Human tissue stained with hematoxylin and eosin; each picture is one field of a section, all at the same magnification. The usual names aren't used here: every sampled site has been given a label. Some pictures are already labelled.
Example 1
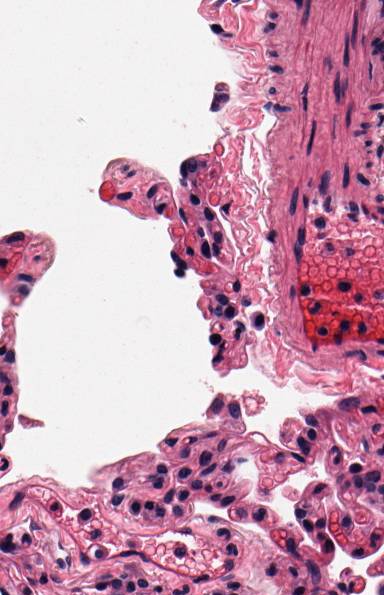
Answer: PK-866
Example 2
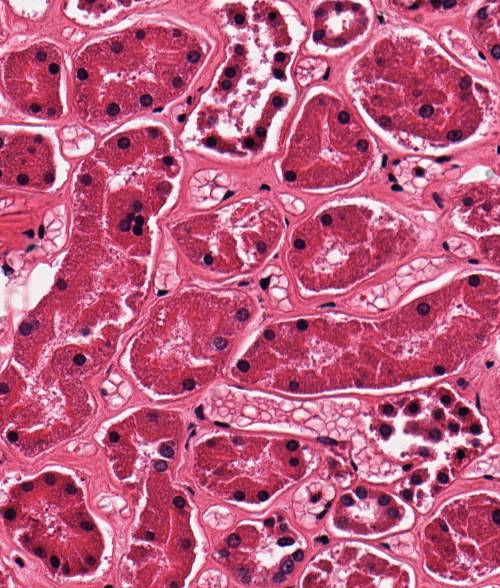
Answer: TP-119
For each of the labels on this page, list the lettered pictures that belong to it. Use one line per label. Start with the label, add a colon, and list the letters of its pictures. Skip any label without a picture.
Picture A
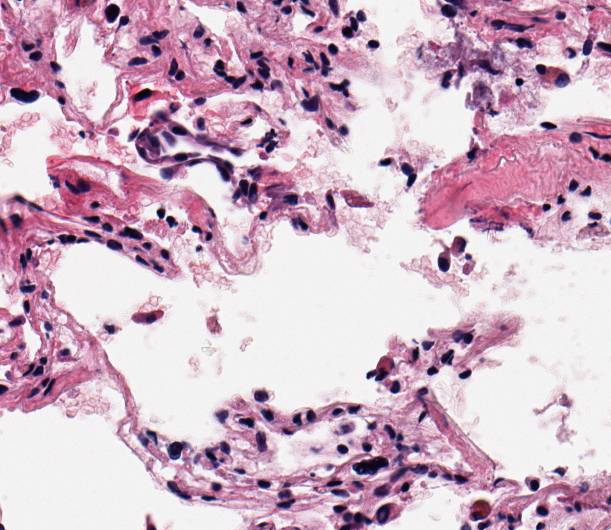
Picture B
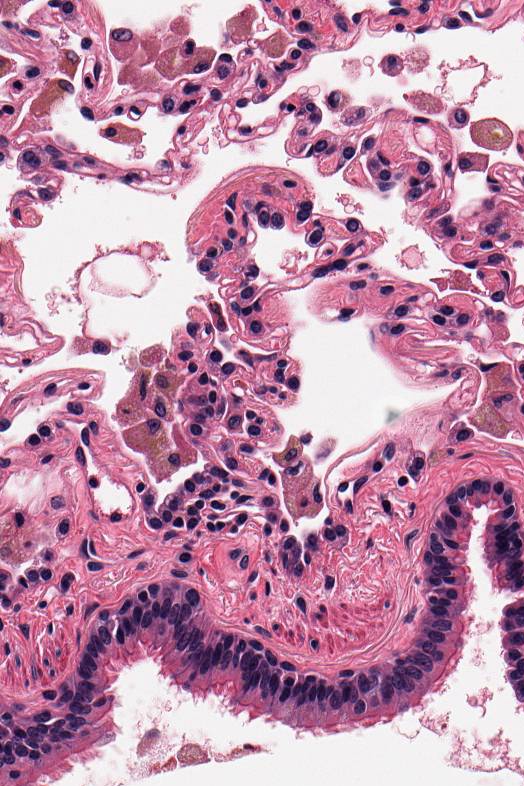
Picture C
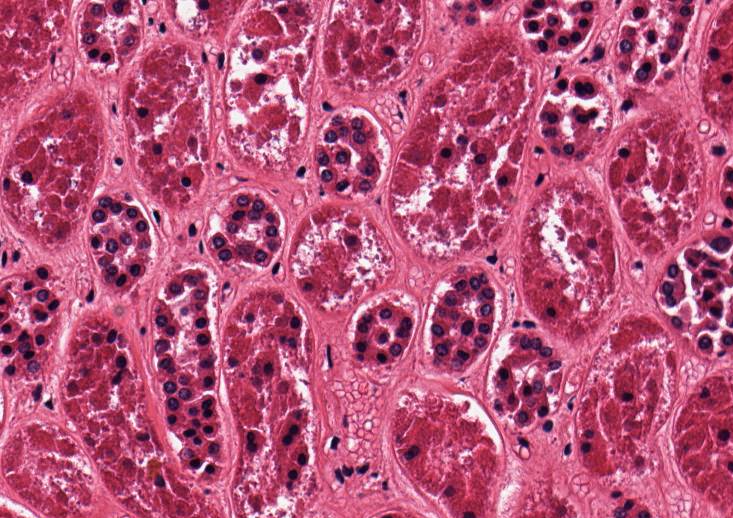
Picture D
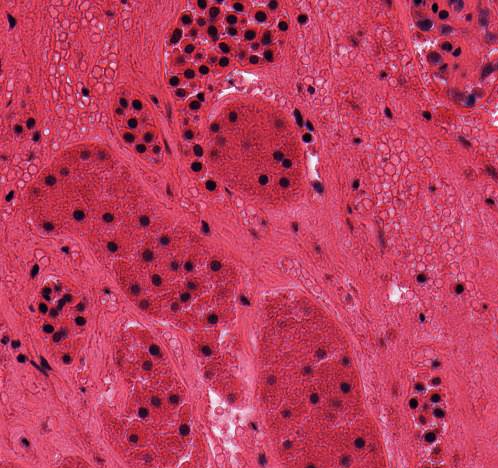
PK-866: A, B
TP-119: C, D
